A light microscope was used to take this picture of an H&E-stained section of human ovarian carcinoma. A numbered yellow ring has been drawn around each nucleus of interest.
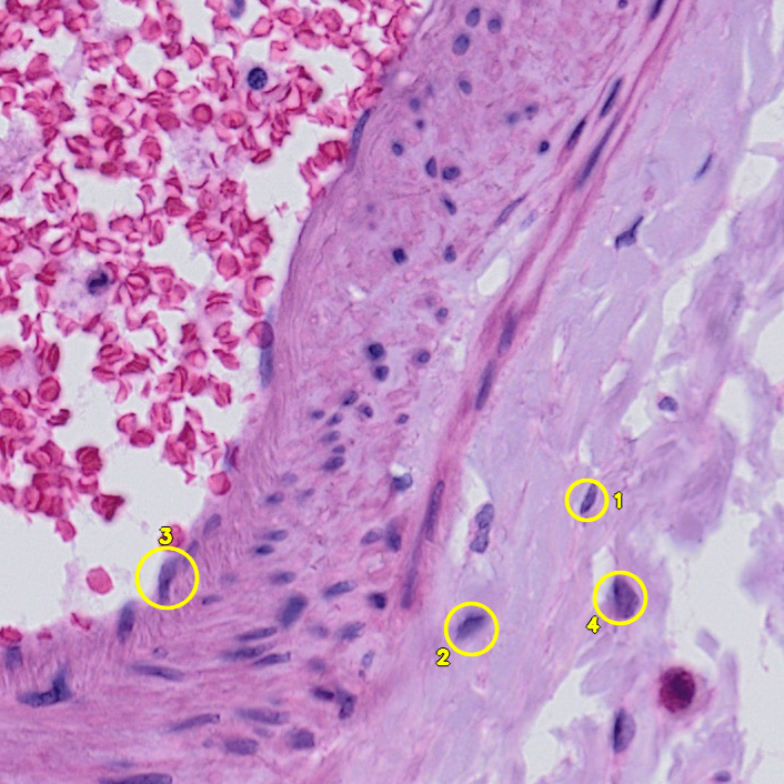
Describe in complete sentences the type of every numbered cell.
Cells 1, 2 and 4 are fibroblasts. Cell 3 is an endothelial cell.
